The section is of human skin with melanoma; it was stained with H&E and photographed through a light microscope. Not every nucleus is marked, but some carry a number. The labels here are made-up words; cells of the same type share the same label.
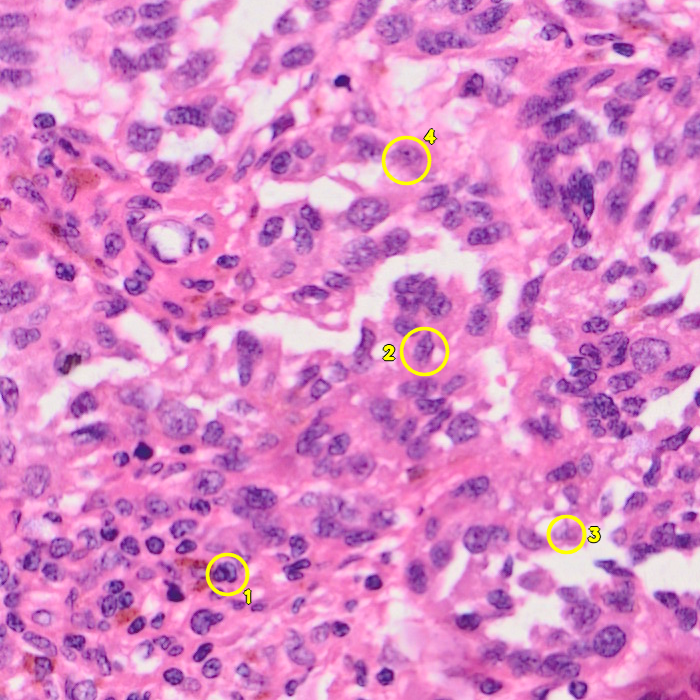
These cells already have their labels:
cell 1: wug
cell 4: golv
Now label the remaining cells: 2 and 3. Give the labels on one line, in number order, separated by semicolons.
golv; golv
